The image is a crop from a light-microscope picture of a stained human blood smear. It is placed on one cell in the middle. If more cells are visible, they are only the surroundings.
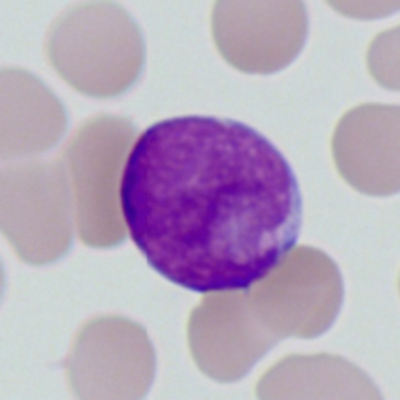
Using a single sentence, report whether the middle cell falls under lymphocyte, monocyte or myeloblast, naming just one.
The cell positioned in the middle of the field is a myeloblast.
